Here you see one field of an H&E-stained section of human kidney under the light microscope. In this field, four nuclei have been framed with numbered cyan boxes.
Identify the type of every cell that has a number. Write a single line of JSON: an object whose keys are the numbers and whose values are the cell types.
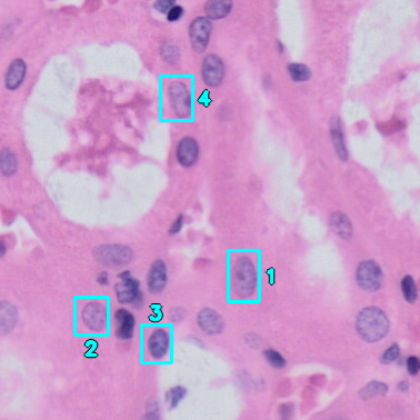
{"1": "proximal tubule cell", "2": "proximal tubule cell", "3": "loop of Henle or distal tubule cell", "4": "proximal tubule cell"}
